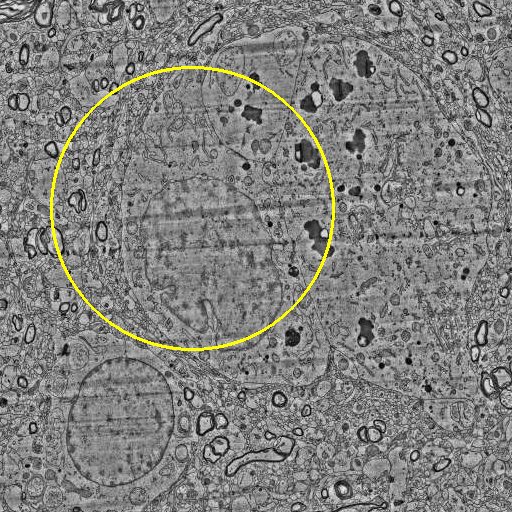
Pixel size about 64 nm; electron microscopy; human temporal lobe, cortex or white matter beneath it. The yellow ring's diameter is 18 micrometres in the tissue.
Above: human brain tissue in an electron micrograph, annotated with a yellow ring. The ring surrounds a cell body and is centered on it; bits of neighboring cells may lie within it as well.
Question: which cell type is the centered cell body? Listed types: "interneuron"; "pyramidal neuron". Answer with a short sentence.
The centered cell body is an interneuron.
